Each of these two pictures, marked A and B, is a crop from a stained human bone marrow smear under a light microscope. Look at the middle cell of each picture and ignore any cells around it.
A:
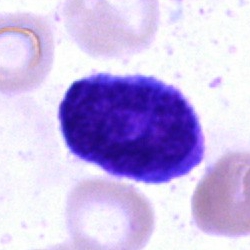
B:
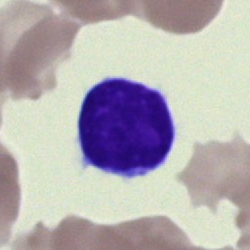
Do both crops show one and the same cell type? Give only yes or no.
no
